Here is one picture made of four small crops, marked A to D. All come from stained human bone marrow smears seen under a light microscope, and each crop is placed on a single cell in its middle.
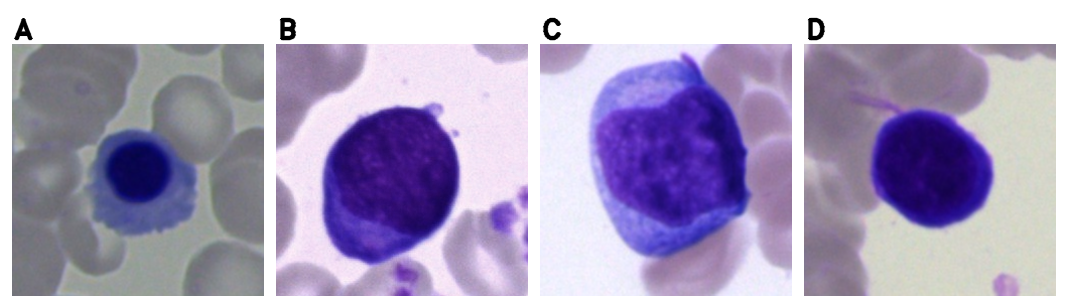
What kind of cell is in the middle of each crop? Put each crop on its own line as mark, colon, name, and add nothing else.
A: normoblast
B: blast
C: blast
D: lymphocyte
